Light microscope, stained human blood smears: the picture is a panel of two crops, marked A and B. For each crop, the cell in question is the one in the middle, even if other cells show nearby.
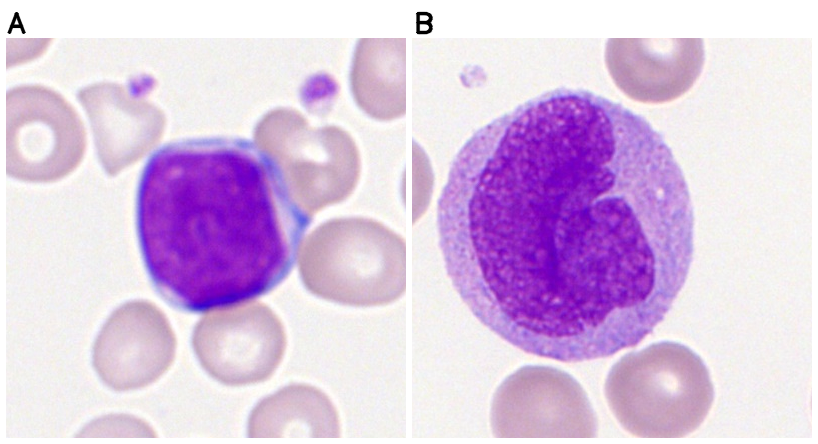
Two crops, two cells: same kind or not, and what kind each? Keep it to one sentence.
Yes, both crops show blasts in the middle.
